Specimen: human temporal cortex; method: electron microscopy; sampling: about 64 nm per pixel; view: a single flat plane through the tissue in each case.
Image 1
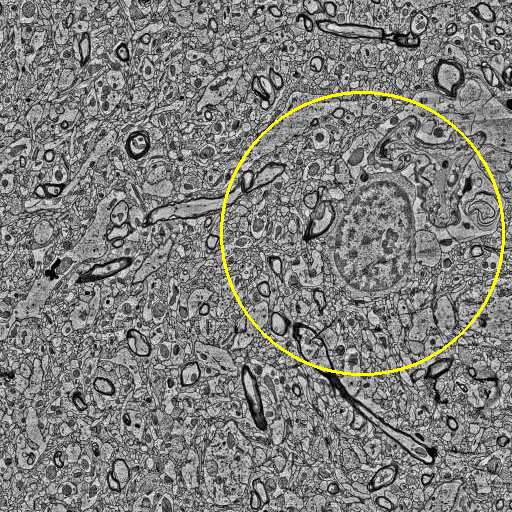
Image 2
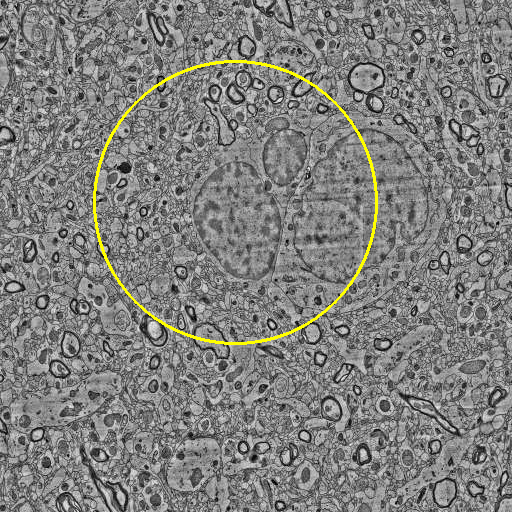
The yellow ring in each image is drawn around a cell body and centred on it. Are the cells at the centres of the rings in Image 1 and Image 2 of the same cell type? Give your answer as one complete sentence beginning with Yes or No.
Yes, both cells are of the same type.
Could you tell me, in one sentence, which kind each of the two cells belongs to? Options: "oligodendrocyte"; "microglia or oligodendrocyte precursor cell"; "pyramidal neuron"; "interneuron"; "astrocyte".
In the first picture and in the second, the ring is centred on an oligodendrocyte.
